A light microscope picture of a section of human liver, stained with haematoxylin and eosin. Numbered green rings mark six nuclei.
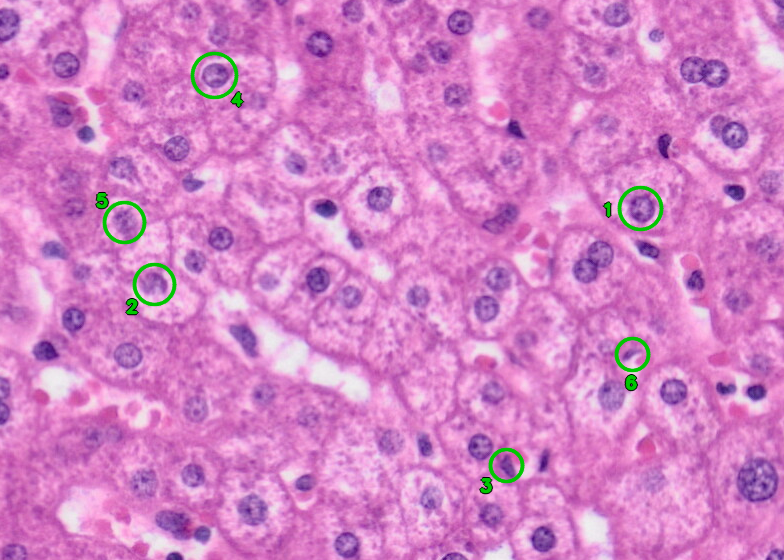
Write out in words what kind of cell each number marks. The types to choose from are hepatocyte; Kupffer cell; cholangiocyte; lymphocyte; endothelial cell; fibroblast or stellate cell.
Cell 1 is a hepatocyte, cell 2 is a hepatocyte, cell 3 is an endothelial cell, cell 4 is a hepatocyte, cell 5 is a hepatocyte and cell 6 is an endothelial cell.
